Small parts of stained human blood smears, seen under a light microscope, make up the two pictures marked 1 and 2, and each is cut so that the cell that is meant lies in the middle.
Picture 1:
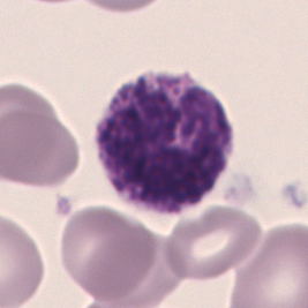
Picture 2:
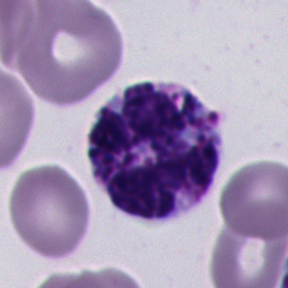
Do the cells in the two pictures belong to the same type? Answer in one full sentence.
Yes; the cells in both pictures are basophils.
